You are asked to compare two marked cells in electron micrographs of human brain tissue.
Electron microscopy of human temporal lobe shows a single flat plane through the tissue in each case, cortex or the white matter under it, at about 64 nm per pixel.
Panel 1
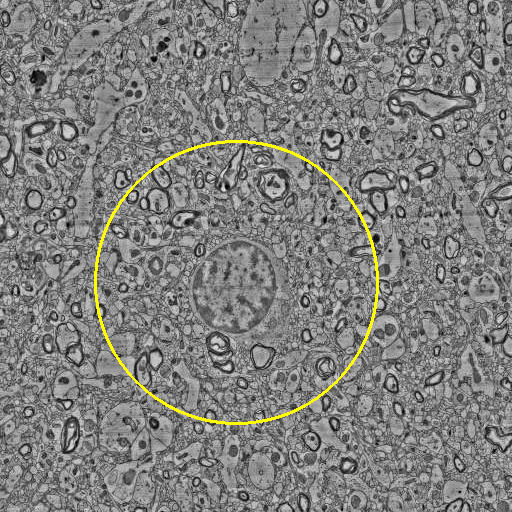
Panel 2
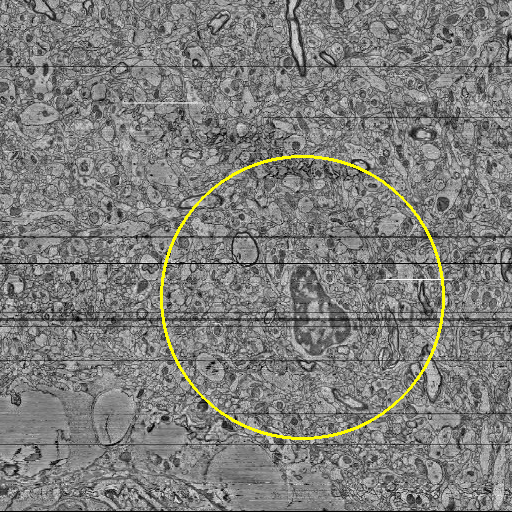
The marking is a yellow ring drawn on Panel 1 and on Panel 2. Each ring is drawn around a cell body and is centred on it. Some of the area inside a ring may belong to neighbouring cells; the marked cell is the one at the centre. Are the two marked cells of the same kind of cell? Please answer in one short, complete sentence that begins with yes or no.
No, the two marked cells are of two kinds.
